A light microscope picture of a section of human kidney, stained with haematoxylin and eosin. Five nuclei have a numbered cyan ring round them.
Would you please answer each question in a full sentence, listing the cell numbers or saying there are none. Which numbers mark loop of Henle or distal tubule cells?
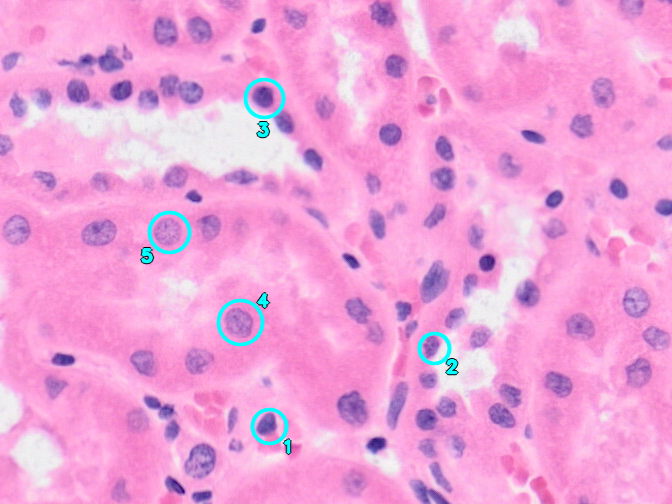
The cells bearing the numbers 2 and 3 are loop of Henle or distal tubule cells.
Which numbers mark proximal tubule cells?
The cells to which the numbers 4 and 5 refer are proximal tubule cells.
